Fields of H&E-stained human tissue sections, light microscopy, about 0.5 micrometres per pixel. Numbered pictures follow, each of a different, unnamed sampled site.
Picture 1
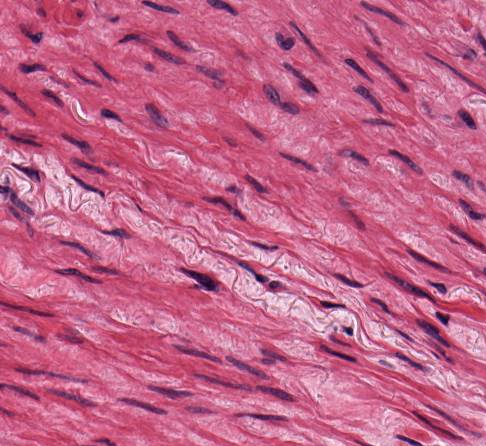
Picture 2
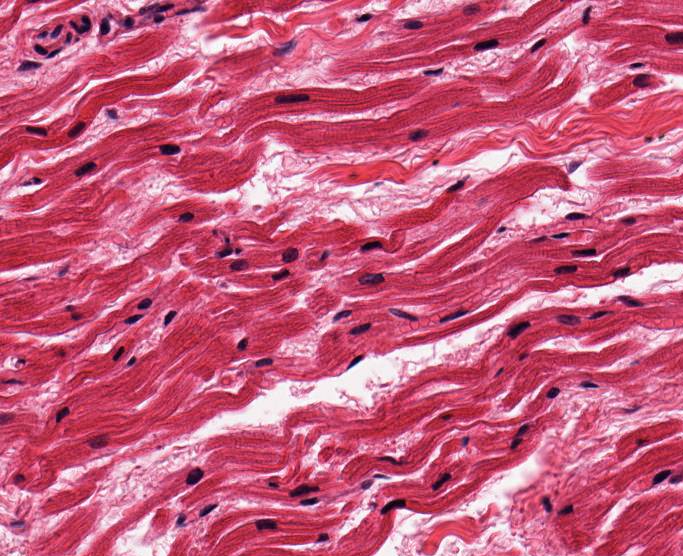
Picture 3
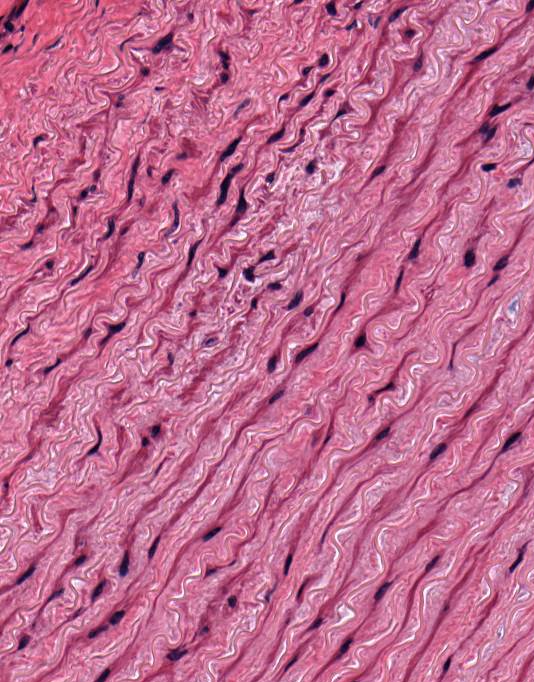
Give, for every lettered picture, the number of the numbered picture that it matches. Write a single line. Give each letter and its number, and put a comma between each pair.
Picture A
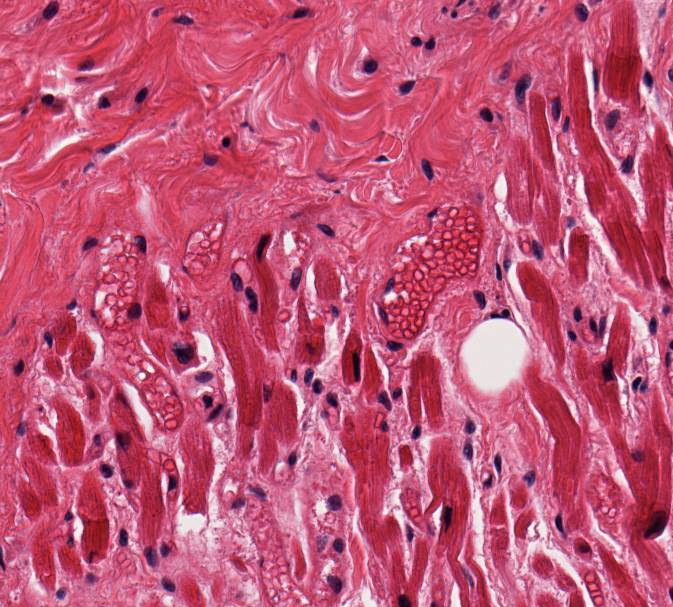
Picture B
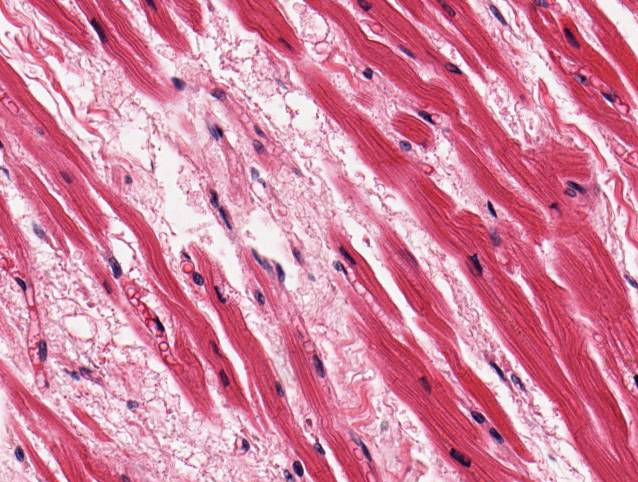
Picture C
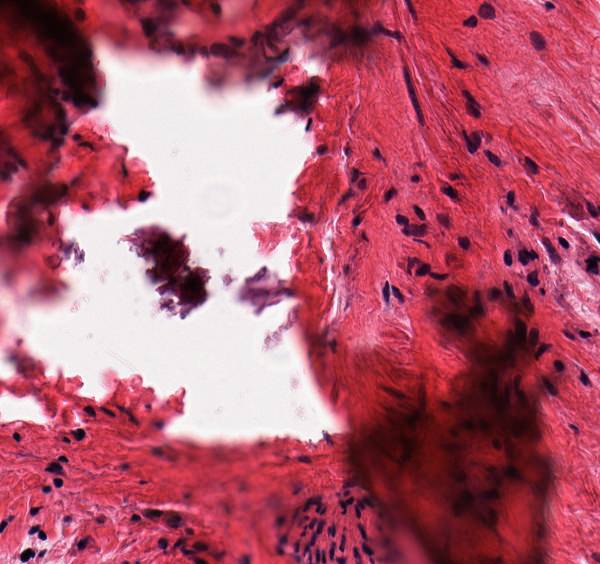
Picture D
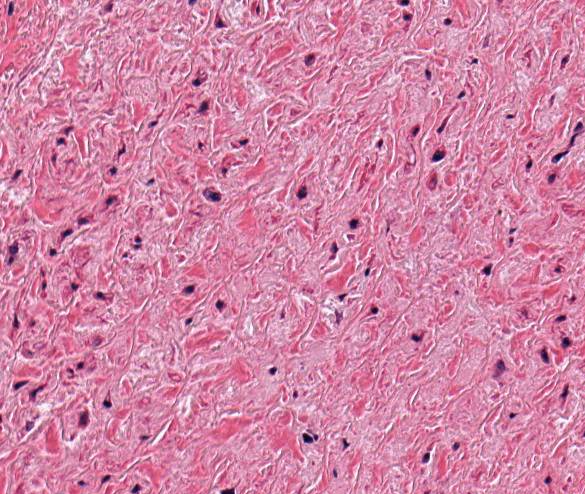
A 2, B 2, C 1, D 1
